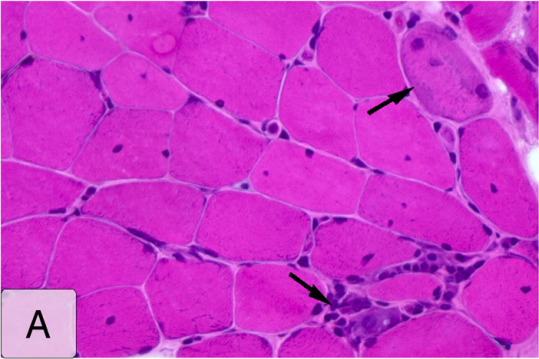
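Skeletal muscle in cross-section, with polygonal muscle fibres of varying size packed closely together, their cytoplasm stained pink. Most fibres have a few flattened dark nuclei at their edges, beneath the surface membrane. Thin pale spaces with occasional small nuclei separate the fibres. In the lower part, a cluster of small, round, darkly stained nuclei of inflammatory cells lies between several fibres. In the upper right, one fibre looks paler and mottled, with a granular, less uniform cytoplasm than its neighbours, consistent with a damaged, necrotic fibre.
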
